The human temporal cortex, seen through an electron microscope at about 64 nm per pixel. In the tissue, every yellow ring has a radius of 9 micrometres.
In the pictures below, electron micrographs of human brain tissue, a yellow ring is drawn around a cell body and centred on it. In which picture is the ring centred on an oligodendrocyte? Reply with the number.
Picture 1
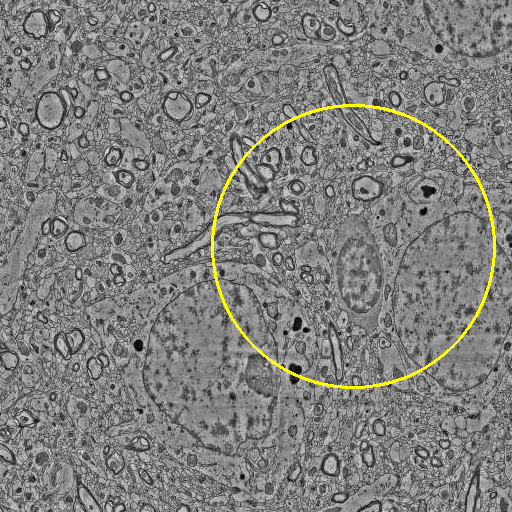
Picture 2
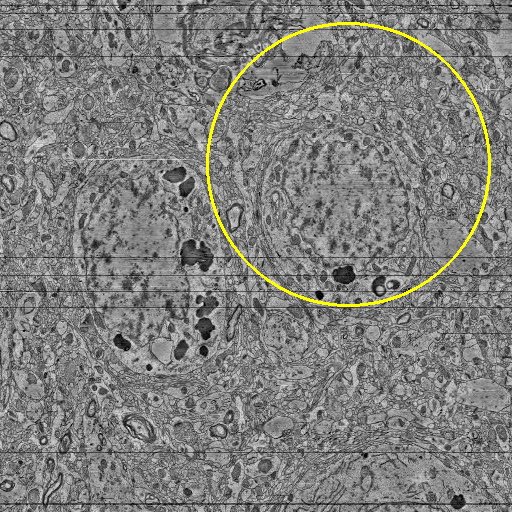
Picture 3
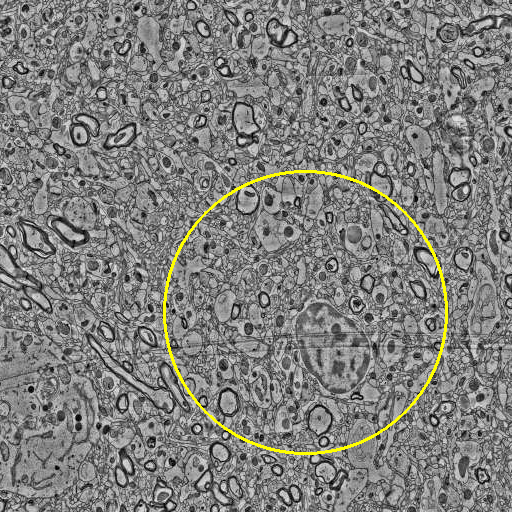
1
